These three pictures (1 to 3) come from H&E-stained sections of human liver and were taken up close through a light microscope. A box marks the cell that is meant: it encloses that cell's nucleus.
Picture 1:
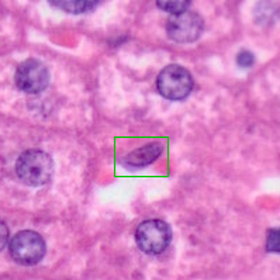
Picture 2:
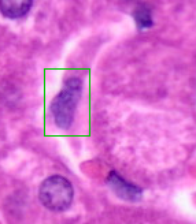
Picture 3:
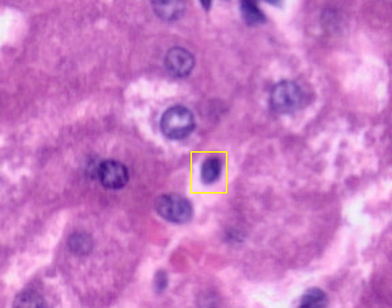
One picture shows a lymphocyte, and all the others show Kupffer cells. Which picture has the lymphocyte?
3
